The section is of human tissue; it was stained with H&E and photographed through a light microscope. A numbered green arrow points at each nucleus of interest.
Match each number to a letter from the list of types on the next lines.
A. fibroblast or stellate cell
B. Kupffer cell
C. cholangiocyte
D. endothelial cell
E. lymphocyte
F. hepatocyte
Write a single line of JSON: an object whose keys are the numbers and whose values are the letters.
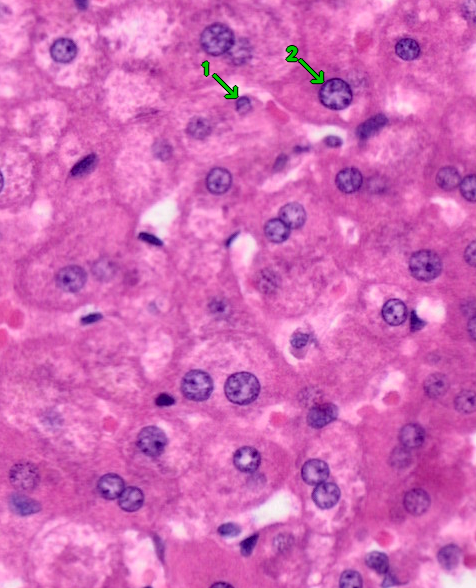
{"1": "B", "2": "F"}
